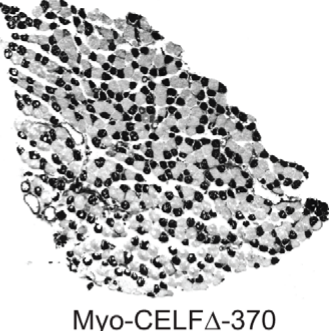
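This is a transverse section of a whole skeletal muscle in which the fibers are seen end-on as rounded to polygonal profiles. Pale grey fibers make up much of the section, with dark fibers scattered among them in a mosaic. The fibers vary in size, and many appear more rounded, with clearer spaces between them than in a tightly packed muscle. Some fibers show darker rims or ring-like profiles against a paler interior.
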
